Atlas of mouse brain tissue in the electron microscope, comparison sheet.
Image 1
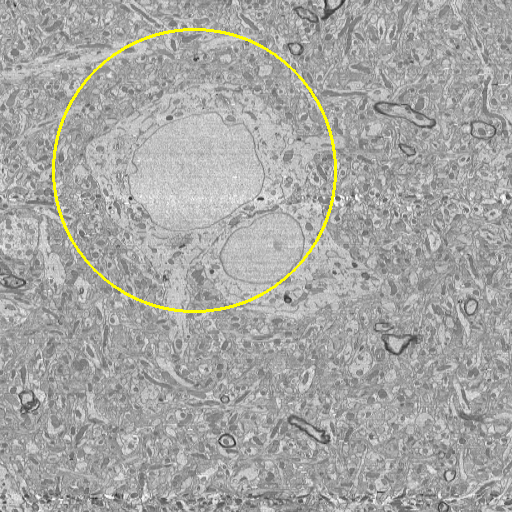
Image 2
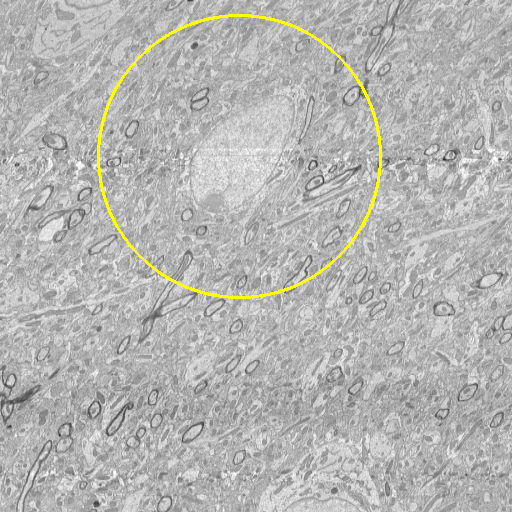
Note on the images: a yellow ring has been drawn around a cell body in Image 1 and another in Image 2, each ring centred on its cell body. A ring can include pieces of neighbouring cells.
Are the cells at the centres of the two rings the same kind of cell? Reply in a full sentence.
No, the two cells are of two kinds.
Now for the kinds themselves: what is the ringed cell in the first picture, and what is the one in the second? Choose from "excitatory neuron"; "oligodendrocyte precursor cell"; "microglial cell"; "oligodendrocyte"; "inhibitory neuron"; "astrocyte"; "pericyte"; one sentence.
Here the first cell is an excitatory neuron and the second cell is an astrocyte.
